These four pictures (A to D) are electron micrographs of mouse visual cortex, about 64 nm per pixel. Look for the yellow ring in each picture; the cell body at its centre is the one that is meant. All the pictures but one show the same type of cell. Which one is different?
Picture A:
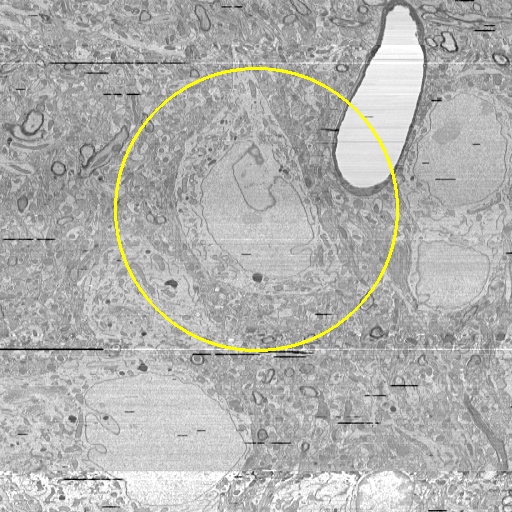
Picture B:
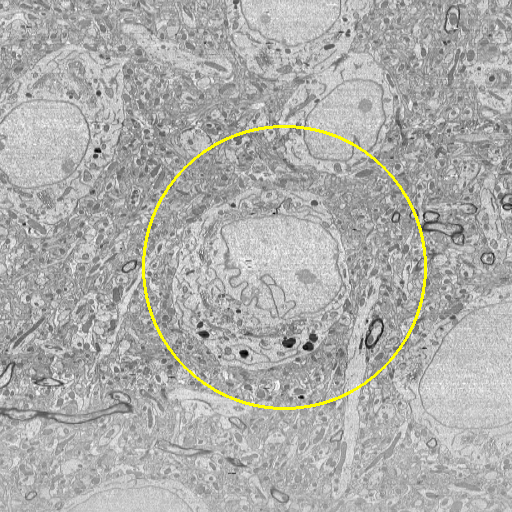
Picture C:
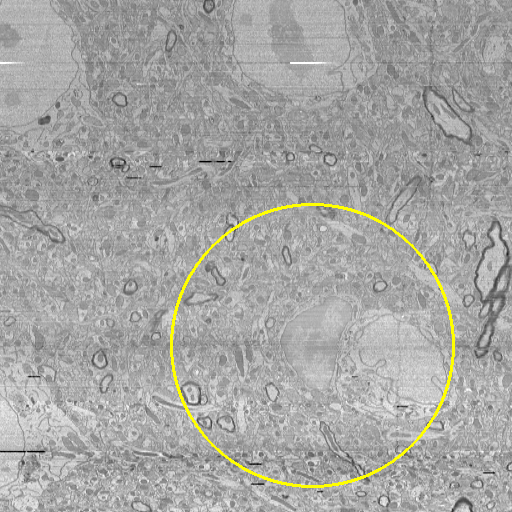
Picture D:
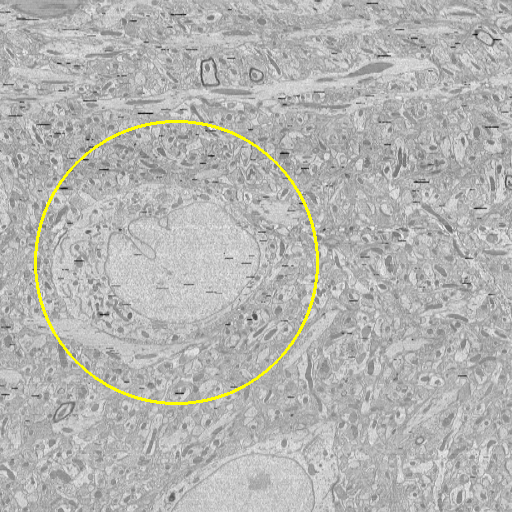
Picture C differs, because its cell is a microglial cell and the rest are inhibitory neurons.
